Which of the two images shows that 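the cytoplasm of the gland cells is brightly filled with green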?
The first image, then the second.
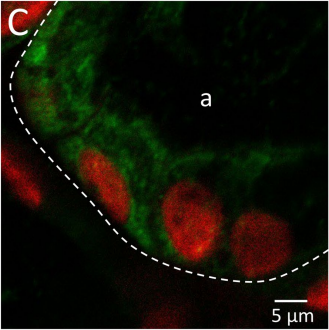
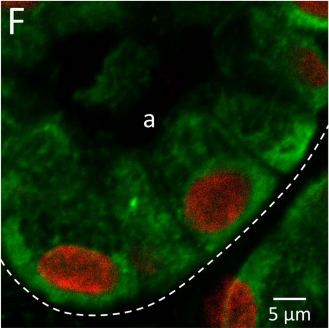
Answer: The second image.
